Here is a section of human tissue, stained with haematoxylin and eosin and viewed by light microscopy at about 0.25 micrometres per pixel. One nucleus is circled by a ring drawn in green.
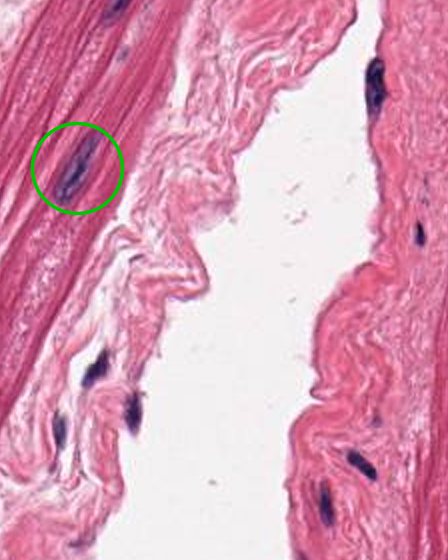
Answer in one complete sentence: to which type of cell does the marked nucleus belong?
Here the marked nucleus belongs to a cardiomyocyte.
